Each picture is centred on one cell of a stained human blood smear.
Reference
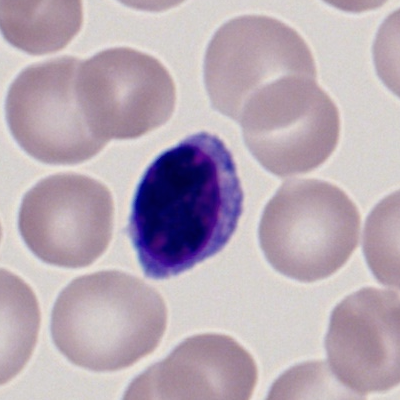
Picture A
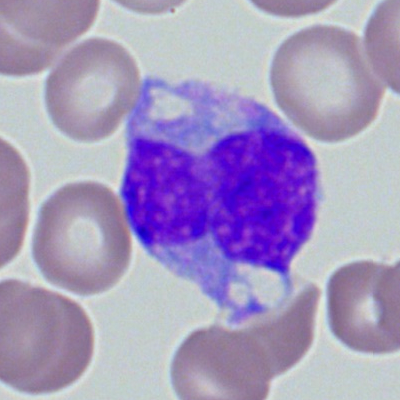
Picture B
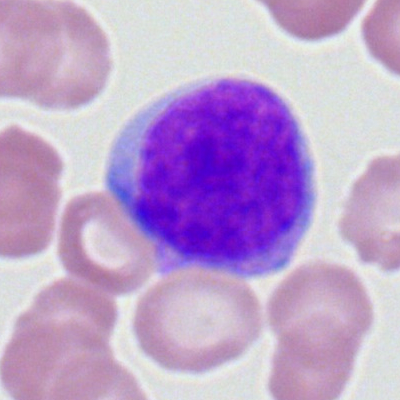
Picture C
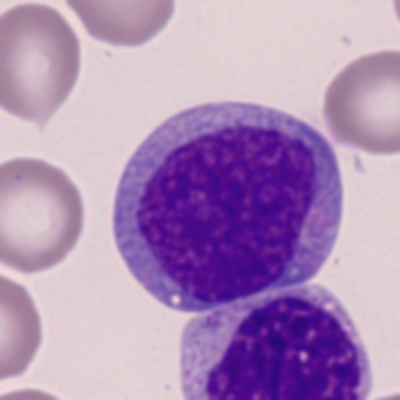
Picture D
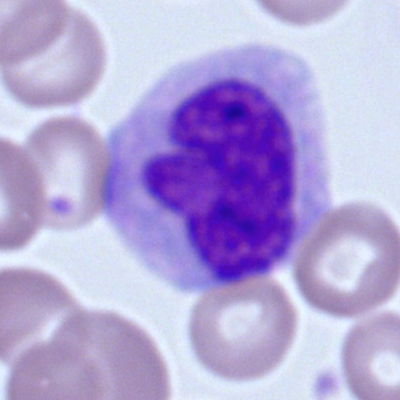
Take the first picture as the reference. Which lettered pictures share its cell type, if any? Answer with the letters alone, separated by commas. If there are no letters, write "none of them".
none of them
